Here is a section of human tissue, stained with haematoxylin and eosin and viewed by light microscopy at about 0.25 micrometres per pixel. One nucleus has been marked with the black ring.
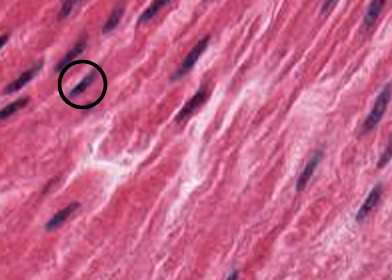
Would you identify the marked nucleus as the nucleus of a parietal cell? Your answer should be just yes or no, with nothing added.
no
